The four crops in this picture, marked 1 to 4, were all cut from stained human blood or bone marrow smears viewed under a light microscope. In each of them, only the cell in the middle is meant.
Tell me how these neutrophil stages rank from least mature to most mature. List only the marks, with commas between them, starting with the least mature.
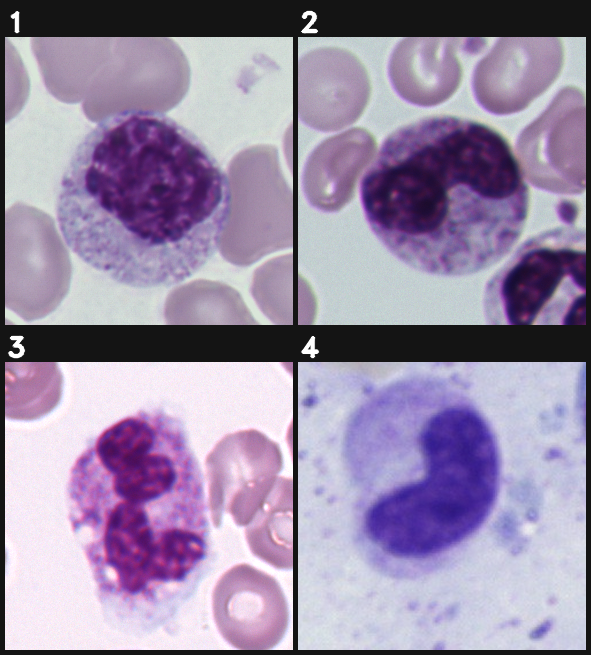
1, 4, 2, 3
